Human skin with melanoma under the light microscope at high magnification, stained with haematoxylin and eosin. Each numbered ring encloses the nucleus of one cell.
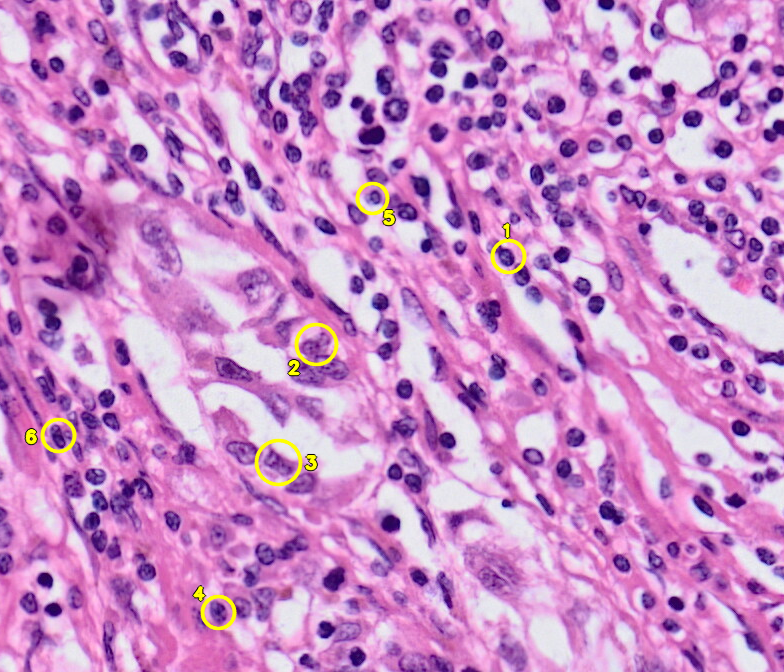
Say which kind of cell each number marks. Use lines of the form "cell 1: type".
cell 1: lymphocyte
cell 2: melanoma cell
cell 3: melanoma cell
cell 4: lymphocyte
cell 5: lymphocyte
cell 6: lymphocyte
